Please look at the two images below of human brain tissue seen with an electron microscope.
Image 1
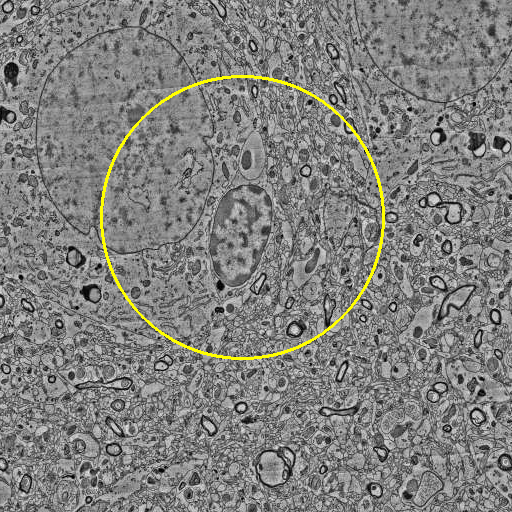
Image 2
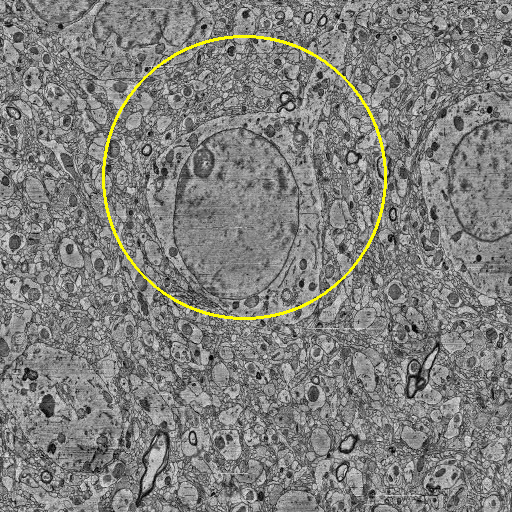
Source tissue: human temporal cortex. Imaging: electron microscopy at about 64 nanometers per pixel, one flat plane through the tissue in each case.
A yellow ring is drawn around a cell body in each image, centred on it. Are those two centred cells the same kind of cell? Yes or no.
no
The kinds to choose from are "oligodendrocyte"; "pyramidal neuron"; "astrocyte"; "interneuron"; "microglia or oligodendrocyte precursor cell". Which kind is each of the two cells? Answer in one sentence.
Of the two, the first cell is a microglial cell or oligodendrocyte precursor cell and the second cell is a pyramidal neuron.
